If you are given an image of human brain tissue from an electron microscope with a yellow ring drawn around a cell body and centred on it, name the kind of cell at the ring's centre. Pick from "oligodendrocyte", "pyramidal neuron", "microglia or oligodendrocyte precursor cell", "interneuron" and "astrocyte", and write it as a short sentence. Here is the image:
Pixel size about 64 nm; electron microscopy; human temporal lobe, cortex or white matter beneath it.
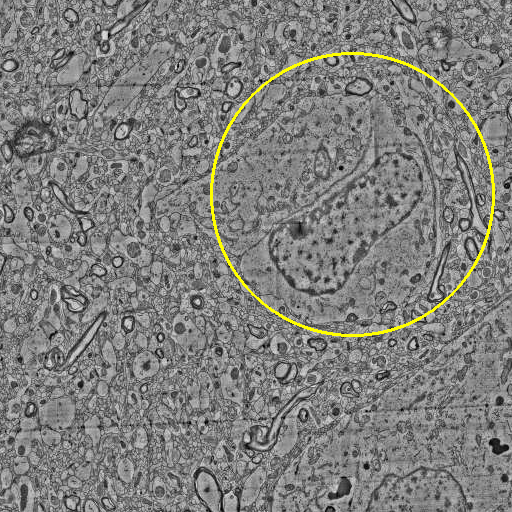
The cell at the ring's centre is a microglial cell or oligodendrocyte precursor cell.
